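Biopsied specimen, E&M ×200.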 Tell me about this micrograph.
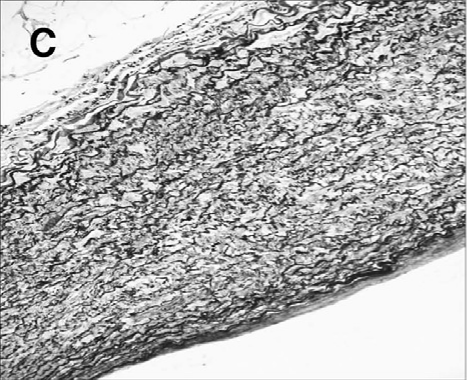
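This is the smooth muscle layer of an artery wall, stained so that fibres appear in dark tones. A broad band crosses the field diagonally. It is packed with dark, wavy, crimped fibres that run mostly along the length of the band. Paler material lies between these fibres. The dark fibres are most concentrated near the two edges of the band, and the layer has a laminated appearance. At the upper left corner, beyond the band, a little pale, open tissue resembling fat is seen.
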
